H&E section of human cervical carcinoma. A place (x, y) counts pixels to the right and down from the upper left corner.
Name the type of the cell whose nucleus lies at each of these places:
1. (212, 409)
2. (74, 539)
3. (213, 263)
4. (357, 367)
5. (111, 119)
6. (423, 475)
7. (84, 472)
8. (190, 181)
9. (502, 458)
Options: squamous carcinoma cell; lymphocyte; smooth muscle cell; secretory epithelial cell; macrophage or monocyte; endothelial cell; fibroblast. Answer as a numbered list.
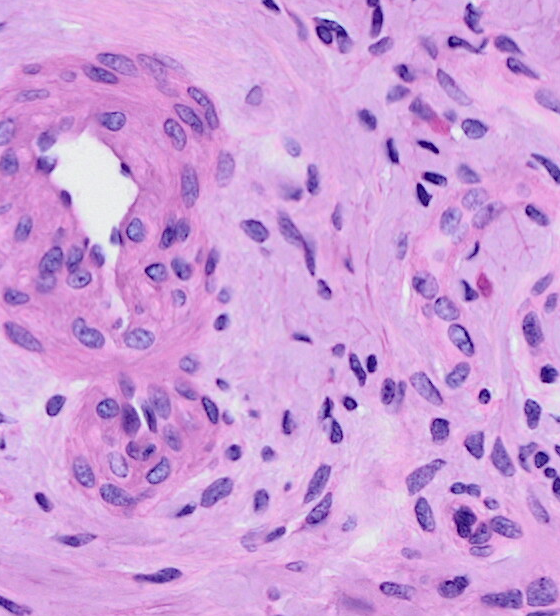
1. smooth muscle cell
2. fibroblast
3. smooth muscle cell
4. fibroblast
5. smooth muscle cell
6. fibroblast
7. smooth muscle cell
8. smooth muscle cell
9. fibroblast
